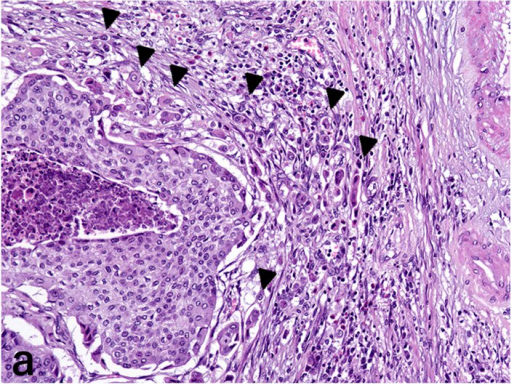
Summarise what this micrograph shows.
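A large nest of cancer cells with pink cytoplasm and round nuclei lies at the lower left, with a darker central area. In the adjacent fibrous stroma, single cancer cells and tiny groups of a few cells have broken away from the nest, their larger nuclei and pink cytoplasm setting them apart from the thin spindle-shaped stromal cells and scattered small inflammatory cells.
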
